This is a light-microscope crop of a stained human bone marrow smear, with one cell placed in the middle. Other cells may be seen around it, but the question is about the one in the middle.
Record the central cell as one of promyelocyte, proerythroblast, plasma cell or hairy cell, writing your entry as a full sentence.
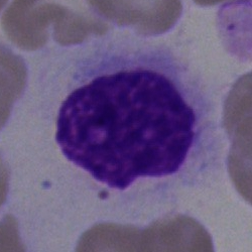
Answering briefly, the cell in the middle is a hairy cell.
